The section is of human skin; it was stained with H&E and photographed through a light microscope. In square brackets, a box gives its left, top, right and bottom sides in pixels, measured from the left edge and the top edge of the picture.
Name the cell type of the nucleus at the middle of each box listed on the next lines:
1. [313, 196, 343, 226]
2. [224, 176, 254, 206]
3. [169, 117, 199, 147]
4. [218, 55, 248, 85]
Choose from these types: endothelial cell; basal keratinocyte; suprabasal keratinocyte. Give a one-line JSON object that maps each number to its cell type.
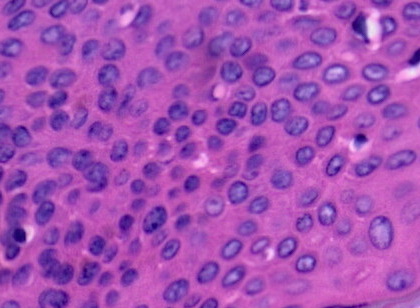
{"1": "suprabasal keratinocyte", "2": "suprabasal keratinocyte", "3": "basal keratinocyte", "4": "suprabasal keratinocyte"}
